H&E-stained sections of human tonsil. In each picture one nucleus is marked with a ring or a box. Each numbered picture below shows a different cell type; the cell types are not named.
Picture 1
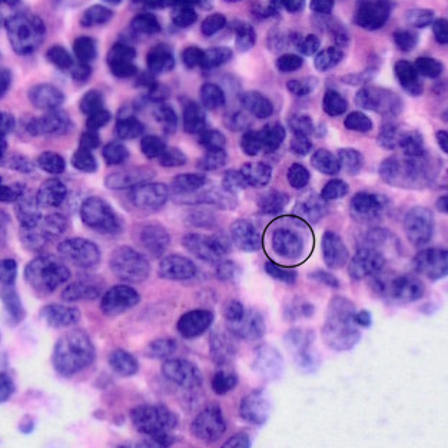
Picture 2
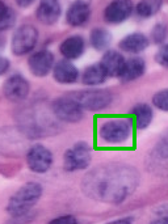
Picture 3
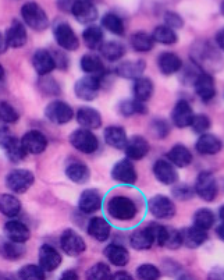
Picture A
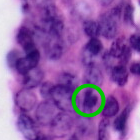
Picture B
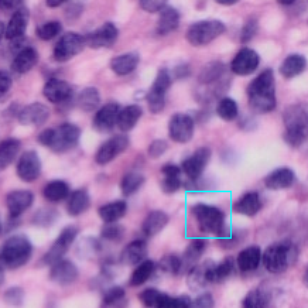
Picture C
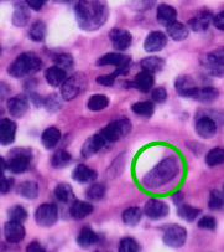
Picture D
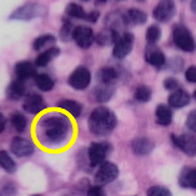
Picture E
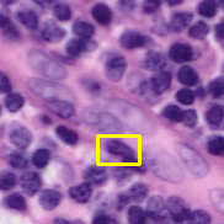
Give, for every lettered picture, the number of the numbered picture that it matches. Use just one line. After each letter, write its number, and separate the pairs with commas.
A 1, B 1, C 2, D 1, E 2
